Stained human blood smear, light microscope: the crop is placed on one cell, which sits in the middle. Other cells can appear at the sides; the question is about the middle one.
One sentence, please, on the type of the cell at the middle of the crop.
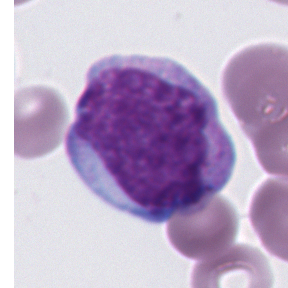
As for the central cell, it is an atypical promyelocyte.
